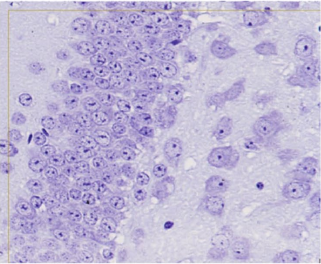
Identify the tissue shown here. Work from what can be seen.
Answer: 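A dense layer of small round tightly packed neurons on the left. Sparser, larger scattered cells in a paler neuropil on the right.
Conclusion: dentate gyrus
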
